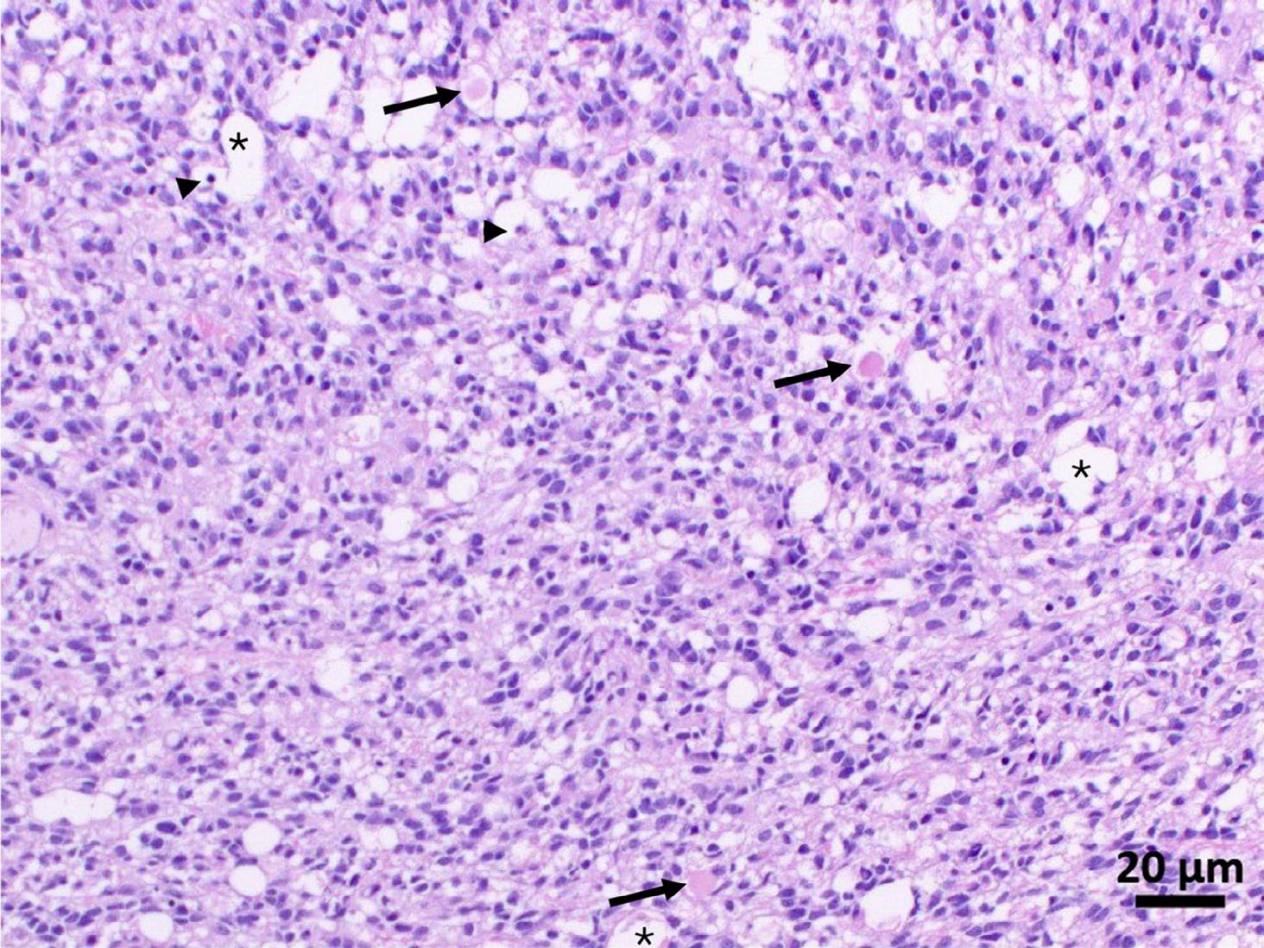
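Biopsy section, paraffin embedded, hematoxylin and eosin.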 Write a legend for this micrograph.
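The cells have hyperchromatic, oval to elongated nuclei that stain dark purple, and scant pale cytoplasm. The upper part holds many clear, round to oval vacuoles of varying size in a pale pink, finely fibrillar background. Scattered round, homogeneous pink bodies lie within or beside some of the vacuoles. A few small, very dark, condensed nuclei stand out among the others.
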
